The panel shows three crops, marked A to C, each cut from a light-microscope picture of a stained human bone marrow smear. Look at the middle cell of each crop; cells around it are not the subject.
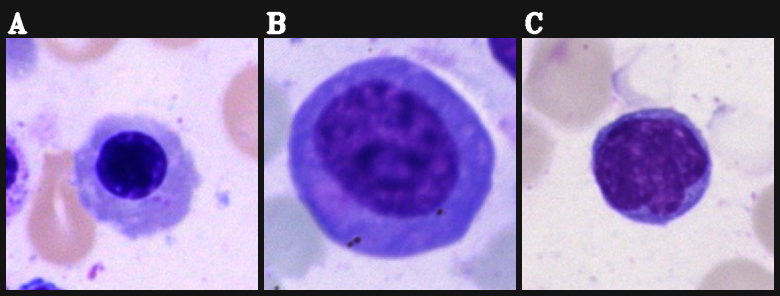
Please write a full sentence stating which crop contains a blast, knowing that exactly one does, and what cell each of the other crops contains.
Crop B comes out as a blast, while crop A is a normoblast and crop C is a lymphocyte.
